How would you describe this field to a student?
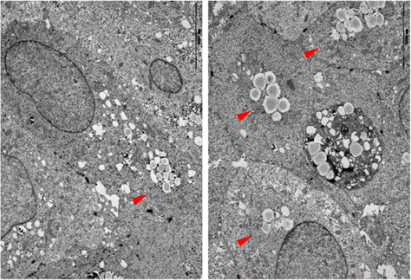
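The cells have large oval nuclei with fine chromatin and a distinct nuclear envelope, and they are separated by thin cell borders. Their cytoplasm holds clusters of small, round, pale membrane-bound granules of varied size, and one cell contains a vacuole filled with dense, heterogeneous material.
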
